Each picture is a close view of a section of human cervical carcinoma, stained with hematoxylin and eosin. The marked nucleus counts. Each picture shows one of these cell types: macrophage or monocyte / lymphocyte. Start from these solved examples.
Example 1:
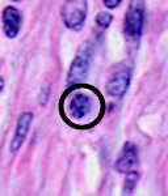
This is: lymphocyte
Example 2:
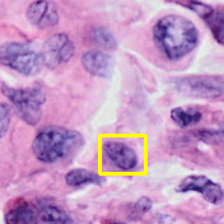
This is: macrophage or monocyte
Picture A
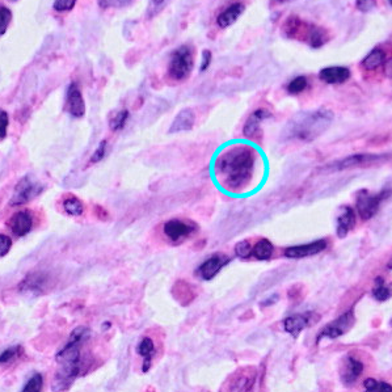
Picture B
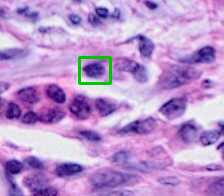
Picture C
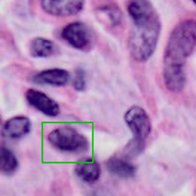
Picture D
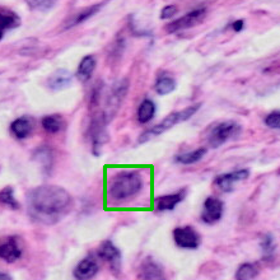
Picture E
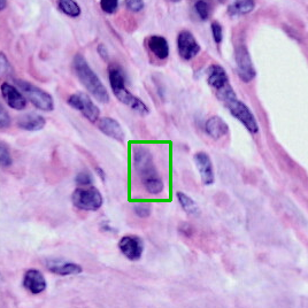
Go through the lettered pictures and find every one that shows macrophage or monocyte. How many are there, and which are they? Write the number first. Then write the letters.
3, namely A, D, E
